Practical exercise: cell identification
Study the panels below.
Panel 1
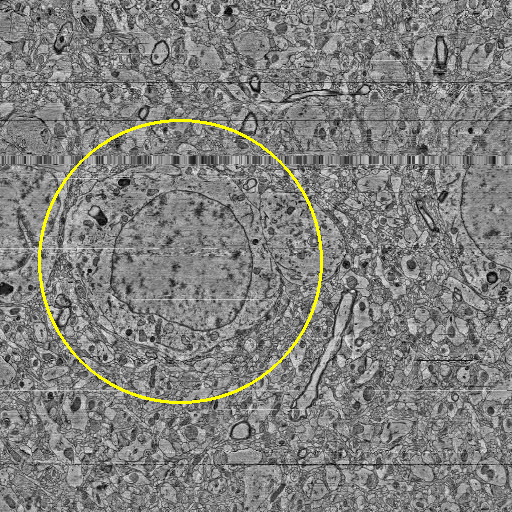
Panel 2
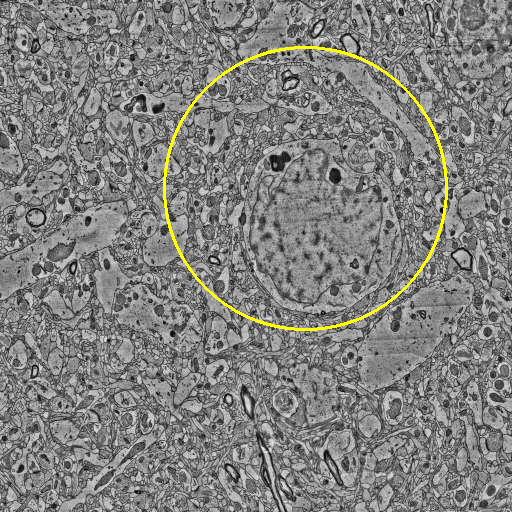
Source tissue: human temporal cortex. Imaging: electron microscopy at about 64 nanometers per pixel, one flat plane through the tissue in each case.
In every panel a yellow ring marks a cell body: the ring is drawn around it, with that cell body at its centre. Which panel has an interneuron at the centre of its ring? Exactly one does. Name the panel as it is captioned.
Panel 2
